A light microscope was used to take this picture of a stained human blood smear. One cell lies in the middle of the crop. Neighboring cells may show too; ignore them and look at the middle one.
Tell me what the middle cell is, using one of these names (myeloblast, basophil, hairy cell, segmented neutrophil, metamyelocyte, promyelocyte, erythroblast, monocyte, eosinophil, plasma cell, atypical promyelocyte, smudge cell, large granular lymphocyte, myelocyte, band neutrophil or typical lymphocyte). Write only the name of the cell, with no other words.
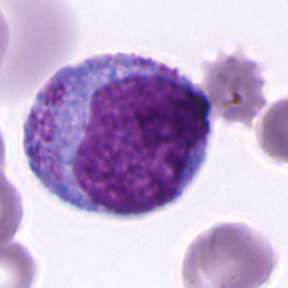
promyelocyte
